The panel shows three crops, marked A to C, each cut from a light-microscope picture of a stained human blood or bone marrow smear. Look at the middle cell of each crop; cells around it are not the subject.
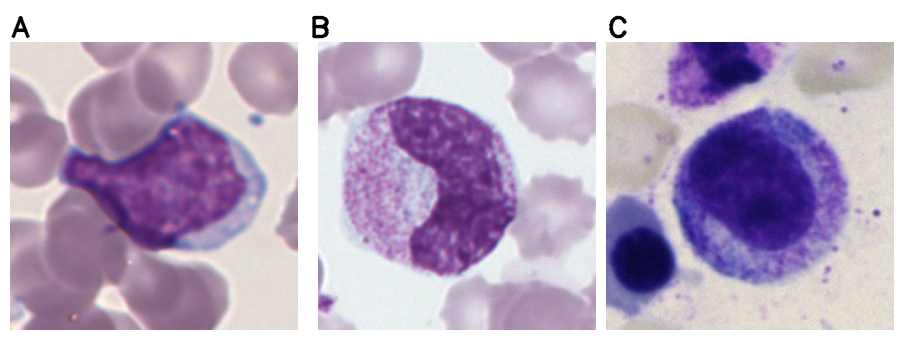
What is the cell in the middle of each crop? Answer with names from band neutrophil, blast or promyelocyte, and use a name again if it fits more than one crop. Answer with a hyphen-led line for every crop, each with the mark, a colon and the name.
- A: blast
- B: band neutrophil
- C: promyelocyte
